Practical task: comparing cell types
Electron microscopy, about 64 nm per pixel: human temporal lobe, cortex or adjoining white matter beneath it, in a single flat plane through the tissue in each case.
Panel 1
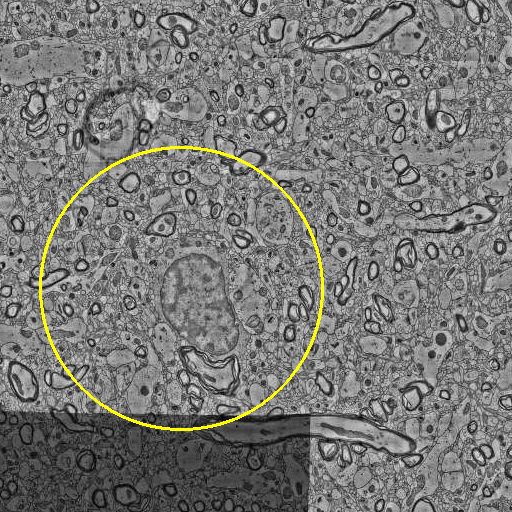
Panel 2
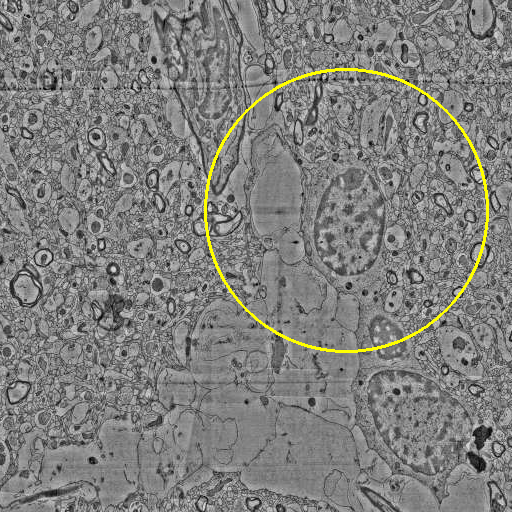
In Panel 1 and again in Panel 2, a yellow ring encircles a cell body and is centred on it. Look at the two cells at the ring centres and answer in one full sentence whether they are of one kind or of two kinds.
The two cells sitting at the ring centres of Panels 1 and 2 are of one kind.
